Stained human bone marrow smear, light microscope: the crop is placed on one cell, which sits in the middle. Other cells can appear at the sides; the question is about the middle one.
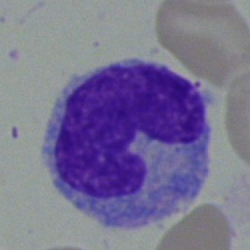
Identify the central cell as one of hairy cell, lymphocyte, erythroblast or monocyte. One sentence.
Within this crop, a monocyte occupies the central position.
